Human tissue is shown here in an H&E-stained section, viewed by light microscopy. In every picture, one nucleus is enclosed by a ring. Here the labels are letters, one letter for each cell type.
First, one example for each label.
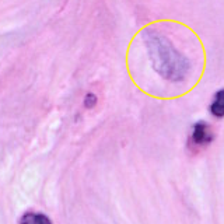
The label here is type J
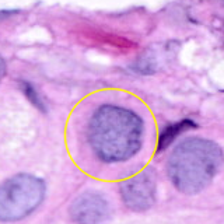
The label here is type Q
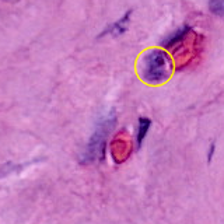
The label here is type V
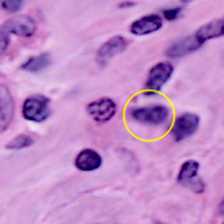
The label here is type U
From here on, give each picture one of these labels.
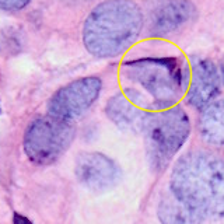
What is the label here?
type Q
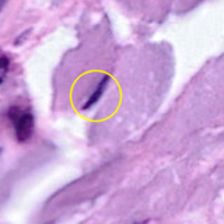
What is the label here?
type J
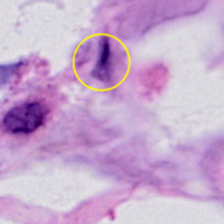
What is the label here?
type J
